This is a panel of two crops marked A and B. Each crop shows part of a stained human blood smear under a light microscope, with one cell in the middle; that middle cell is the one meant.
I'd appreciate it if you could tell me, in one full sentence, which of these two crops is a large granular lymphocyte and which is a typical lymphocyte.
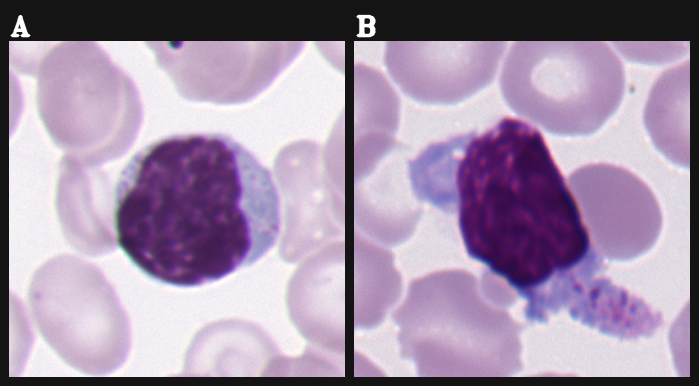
The cell of crop A is a typical lymphocyte; that of crop B is a large granular lymphocyte.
